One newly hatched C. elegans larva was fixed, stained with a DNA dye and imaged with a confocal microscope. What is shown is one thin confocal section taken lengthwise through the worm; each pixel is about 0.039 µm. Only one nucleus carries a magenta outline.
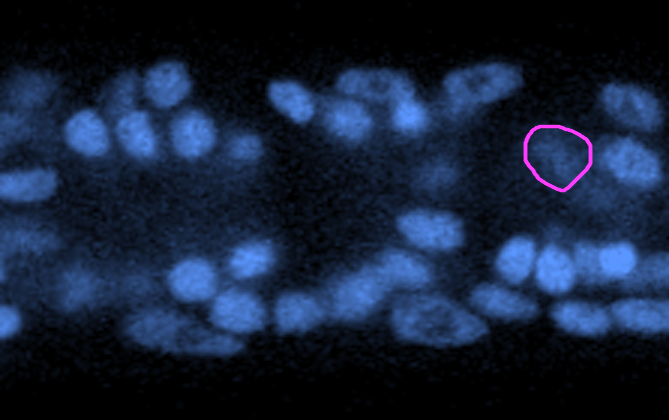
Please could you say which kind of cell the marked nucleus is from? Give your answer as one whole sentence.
It belongs to a pharyngeal muscle cell.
